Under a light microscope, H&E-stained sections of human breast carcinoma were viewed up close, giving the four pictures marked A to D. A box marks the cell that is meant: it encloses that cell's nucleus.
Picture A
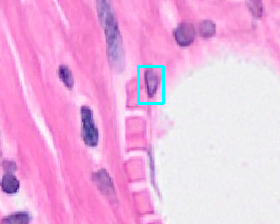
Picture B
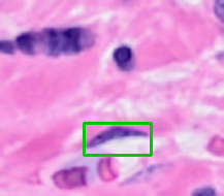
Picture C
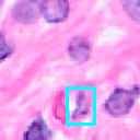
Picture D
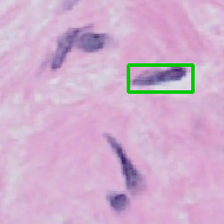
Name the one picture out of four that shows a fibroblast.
D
